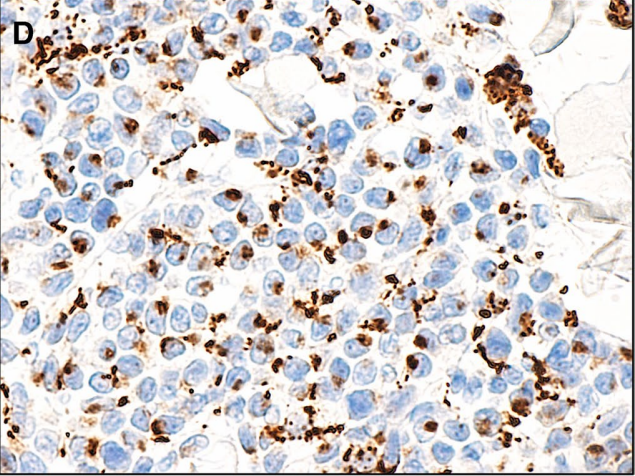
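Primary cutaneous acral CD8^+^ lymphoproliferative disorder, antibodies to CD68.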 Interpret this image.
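Crowded cells with blue oval nuclei are seen, many carrying small brown granular dots in their cytoplasm. A few larger brown clumps lie at the edge of the field.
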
